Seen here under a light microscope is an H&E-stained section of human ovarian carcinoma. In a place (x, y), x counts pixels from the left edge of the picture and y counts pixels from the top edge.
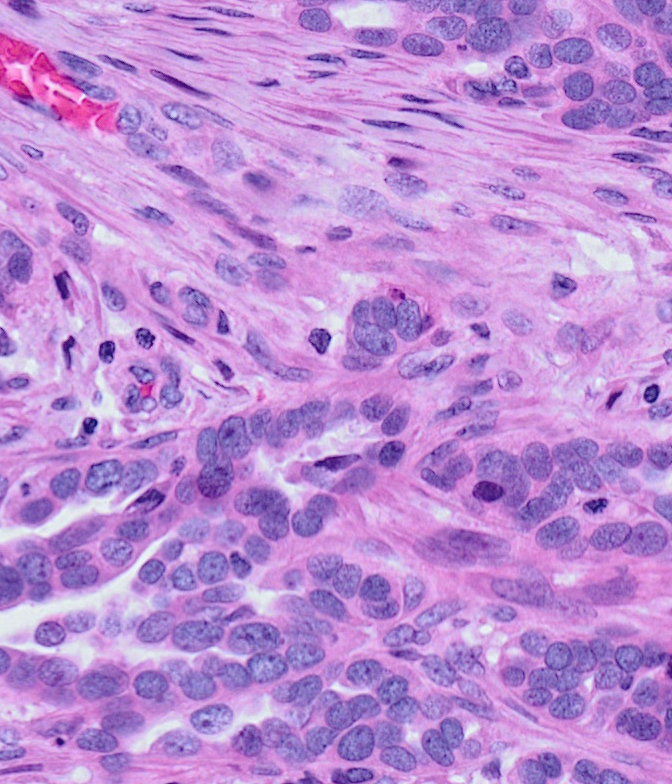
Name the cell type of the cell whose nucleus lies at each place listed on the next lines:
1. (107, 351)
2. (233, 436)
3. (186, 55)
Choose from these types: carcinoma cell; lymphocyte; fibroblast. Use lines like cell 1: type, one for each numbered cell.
cell 1: lymphocyte
cell 2: carcinoma cell
cell 3: fibroblast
